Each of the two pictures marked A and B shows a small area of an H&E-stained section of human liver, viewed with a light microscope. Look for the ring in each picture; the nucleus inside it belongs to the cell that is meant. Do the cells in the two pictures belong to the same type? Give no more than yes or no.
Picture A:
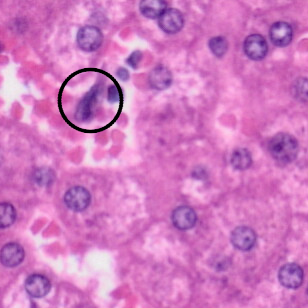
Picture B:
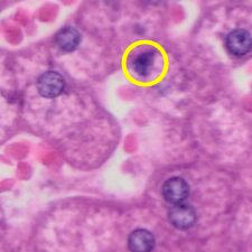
no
